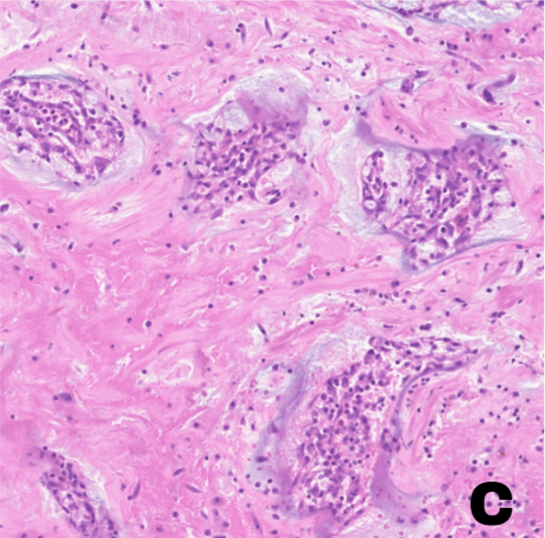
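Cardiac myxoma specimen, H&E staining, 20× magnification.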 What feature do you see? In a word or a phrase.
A: nests and cords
